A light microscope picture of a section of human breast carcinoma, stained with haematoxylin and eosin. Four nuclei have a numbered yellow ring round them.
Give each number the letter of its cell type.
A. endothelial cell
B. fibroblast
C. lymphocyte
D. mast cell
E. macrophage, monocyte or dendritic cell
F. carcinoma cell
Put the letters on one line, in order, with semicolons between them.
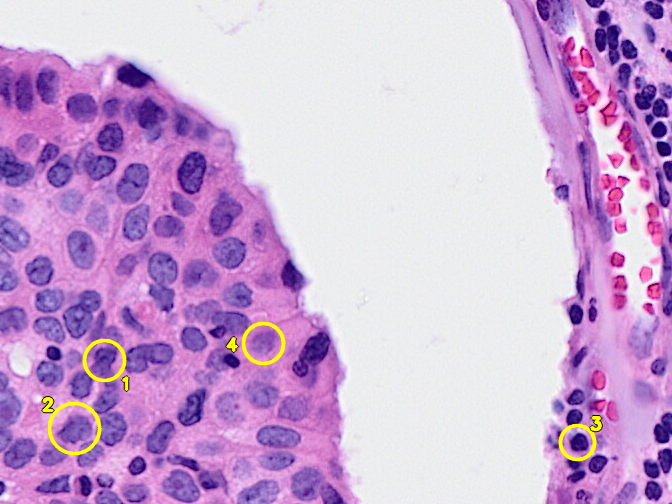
F; F; C; F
